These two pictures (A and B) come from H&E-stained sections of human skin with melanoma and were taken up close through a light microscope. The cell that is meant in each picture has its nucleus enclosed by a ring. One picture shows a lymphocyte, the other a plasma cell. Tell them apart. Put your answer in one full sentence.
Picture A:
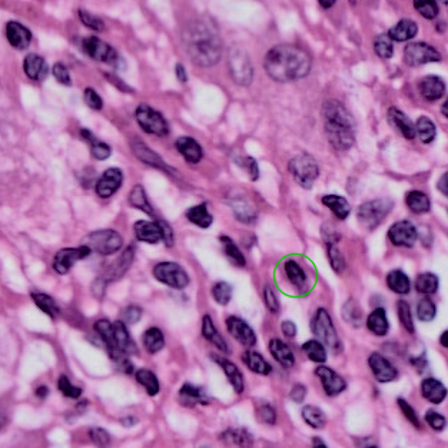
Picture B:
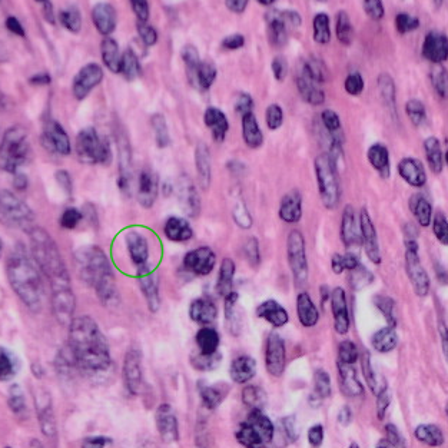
Picture B shows a lymphocyte, while picture A shows a plasma cell.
